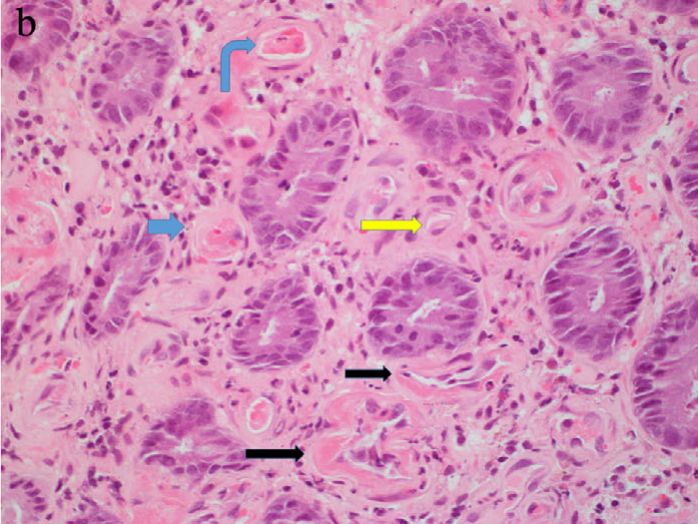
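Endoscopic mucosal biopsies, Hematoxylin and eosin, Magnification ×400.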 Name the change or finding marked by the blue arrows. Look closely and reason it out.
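Fibrin thrombi in vessels. The marked small vessels have lumens filled with pink material. The pink material plugs the vessel lumen rather than lining an open space.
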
